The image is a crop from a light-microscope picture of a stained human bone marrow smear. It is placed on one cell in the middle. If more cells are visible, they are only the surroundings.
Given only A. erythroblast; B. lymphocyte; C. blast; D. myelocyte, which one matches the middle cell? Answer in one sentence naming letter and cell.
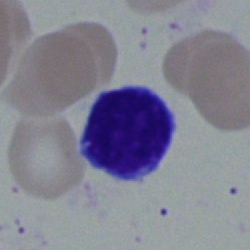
The cell placed in the middle is a lymphocyte; option B is correct.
